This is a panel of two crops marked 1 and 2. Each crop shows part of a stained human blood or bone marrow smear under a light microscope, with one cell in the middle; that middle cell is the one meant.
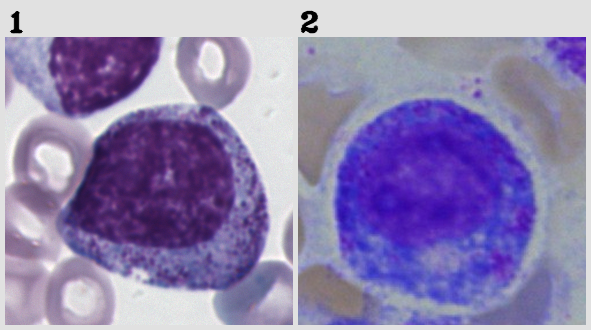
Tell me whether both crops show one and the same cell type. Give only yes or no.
yes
